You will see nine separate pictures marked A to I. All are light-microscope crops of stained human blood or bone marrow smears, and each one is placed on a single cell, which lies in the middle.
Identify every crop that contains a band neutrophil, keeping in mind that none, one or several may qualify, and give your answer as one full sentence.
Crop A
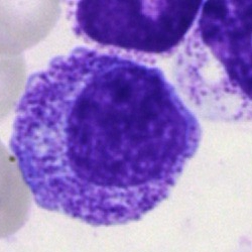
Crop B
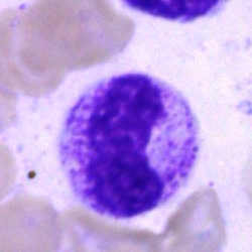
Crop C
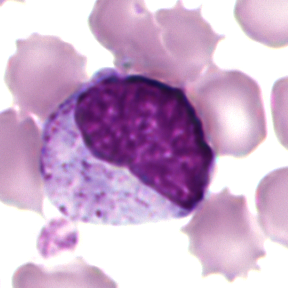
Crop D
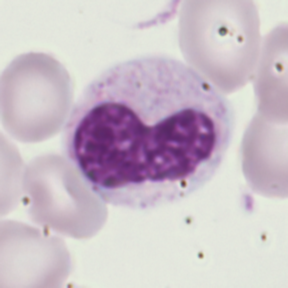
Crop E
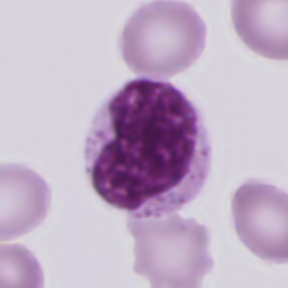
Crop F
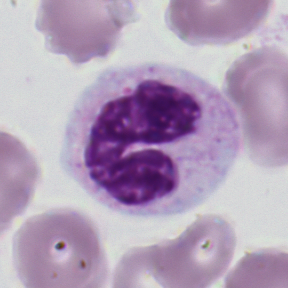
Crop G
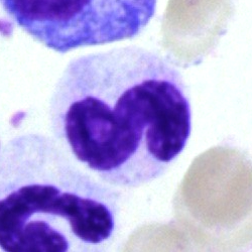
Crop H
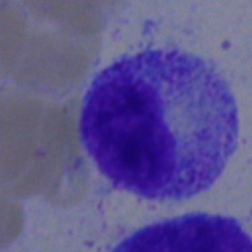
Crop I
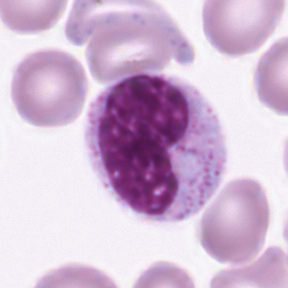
The cells in the middle of crops D, F and G are band neutrophils.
